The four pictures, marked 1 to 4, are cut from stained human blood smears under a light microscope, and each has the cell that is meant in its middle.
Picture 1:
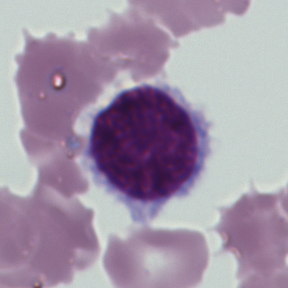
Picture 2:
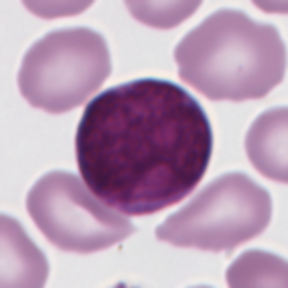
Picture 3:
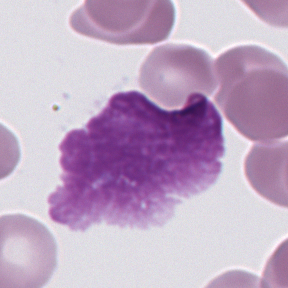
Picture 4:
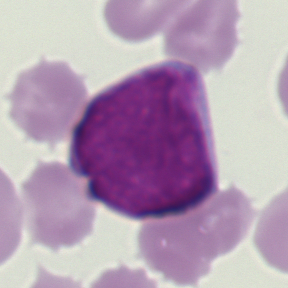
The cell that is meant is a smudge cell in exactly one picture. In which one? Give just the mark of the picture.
3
